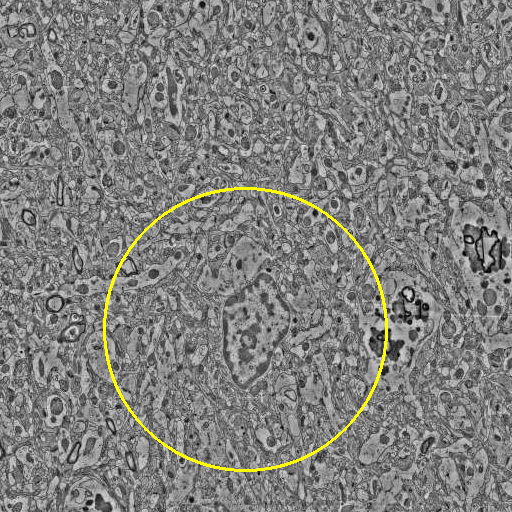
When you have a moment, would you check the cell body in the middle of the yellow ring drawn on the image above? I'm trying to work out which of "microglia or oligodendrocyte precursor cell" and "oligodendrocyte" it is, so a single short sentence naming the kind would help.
This cell body belongs to a microglial cell or oligodendrocyte precursor cell.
